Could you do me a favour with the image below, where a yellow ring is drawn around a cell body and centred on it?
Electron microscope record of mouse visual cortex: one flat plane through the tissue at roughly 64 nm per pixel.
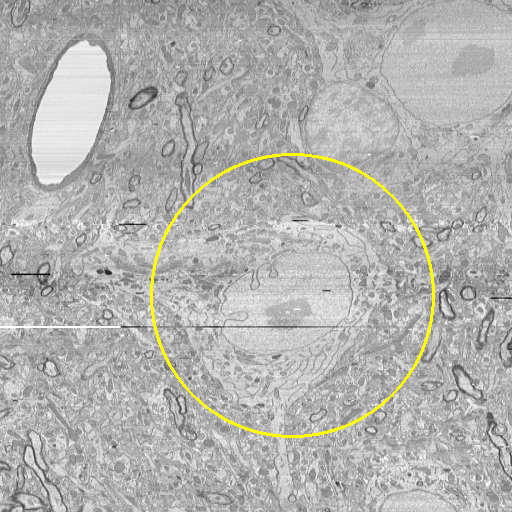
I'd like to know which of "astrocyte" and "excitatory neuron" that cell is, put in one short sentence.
The cell at the ring's centre is an excitatory neuron.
